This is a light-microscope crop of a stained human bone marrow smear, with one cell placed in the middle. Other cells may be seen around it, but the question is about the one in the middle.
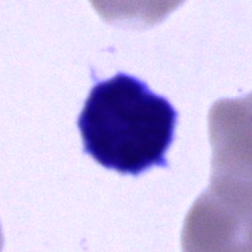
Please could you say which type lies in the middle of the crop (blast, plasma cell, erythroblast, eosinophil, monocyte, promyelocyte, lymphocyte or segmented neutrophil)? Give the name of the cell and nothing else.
lymphocyte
